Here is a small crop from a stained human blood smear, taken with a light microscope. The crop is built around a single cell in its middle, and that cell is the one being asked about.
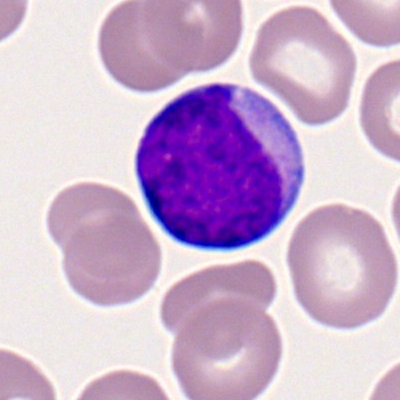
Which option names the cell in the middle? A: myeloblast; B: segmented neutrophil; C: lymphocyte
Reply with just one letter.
A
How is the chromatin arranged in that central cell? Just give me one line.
Chromatin in the nucleus here is coarsely clumped.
